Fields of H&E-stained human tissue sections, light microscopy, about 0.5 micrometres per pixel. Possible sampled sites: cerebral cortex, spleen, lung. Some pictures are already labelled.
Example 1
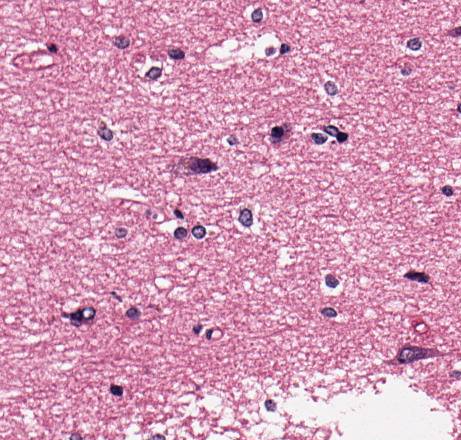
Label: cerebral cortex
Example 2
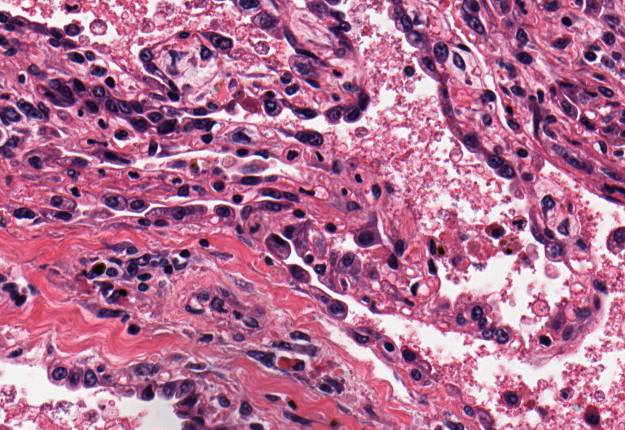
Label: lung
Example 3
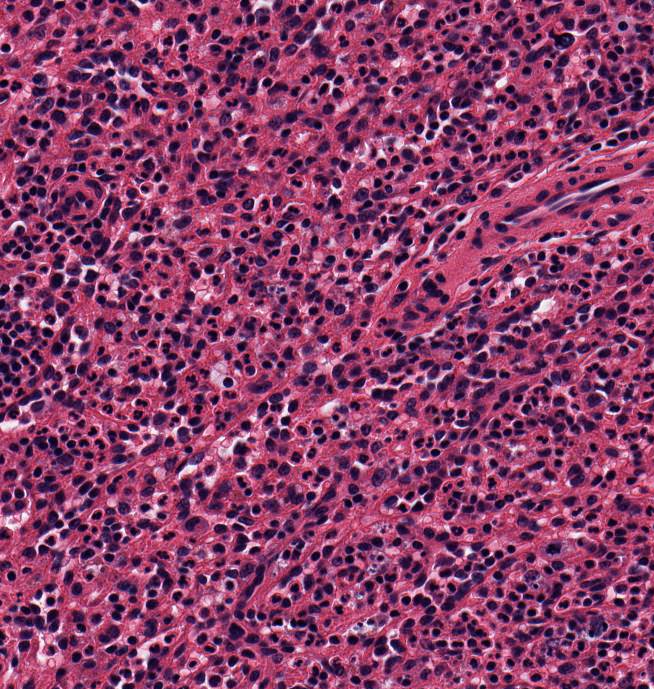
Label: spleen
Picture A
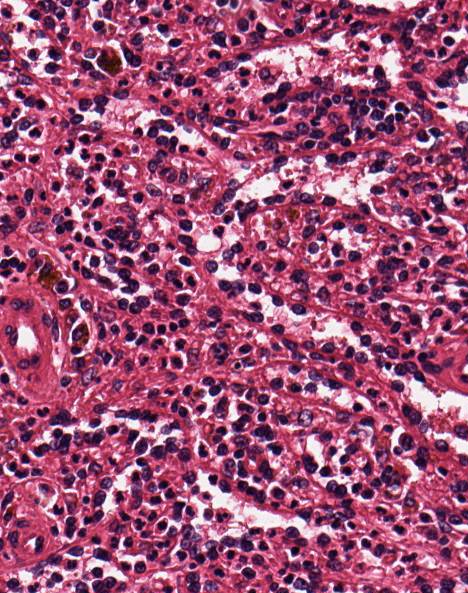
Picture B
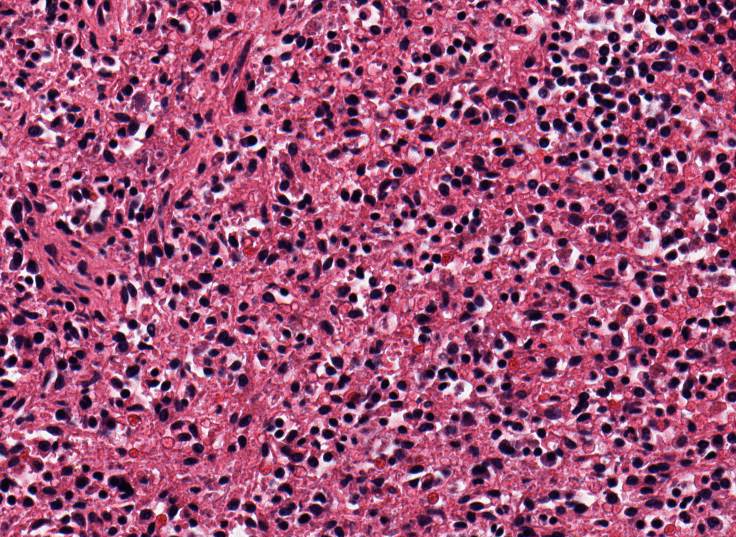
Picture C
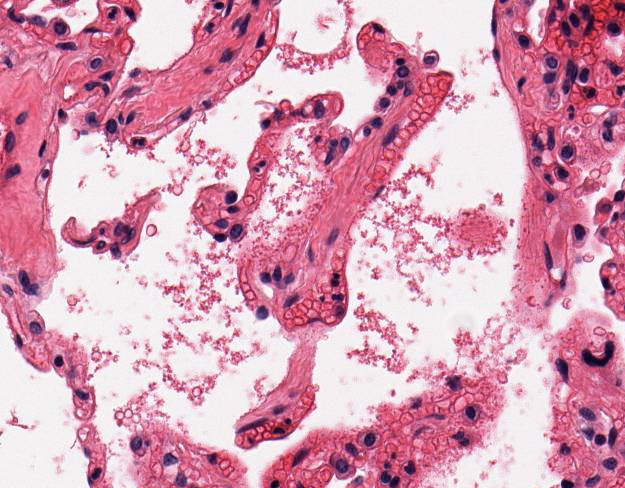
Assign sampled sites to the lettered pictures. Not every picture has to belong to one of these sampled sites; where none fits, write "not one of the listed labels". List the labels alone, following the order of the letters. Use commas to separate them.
spleen, spleen, lung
